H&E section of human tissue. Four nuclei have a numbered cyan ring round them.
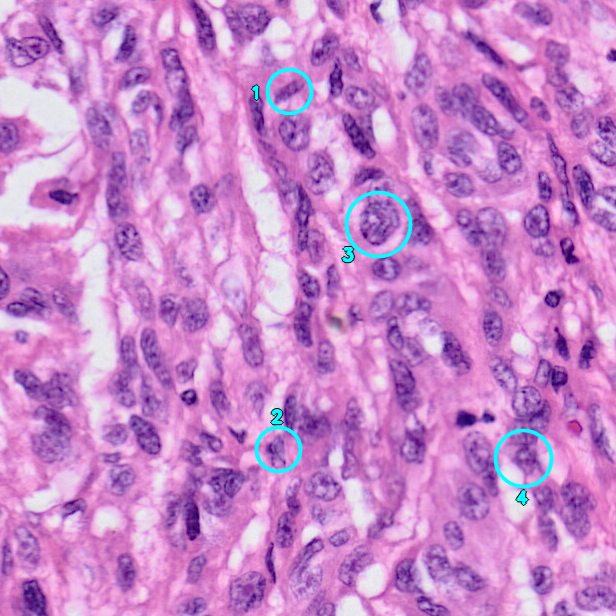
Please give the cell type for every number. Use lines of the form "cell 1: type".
cell 1: melanoma cell
cell 2: macrophage or monocyte
cell 3: melanoma cell
cell 4: melanoma cell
